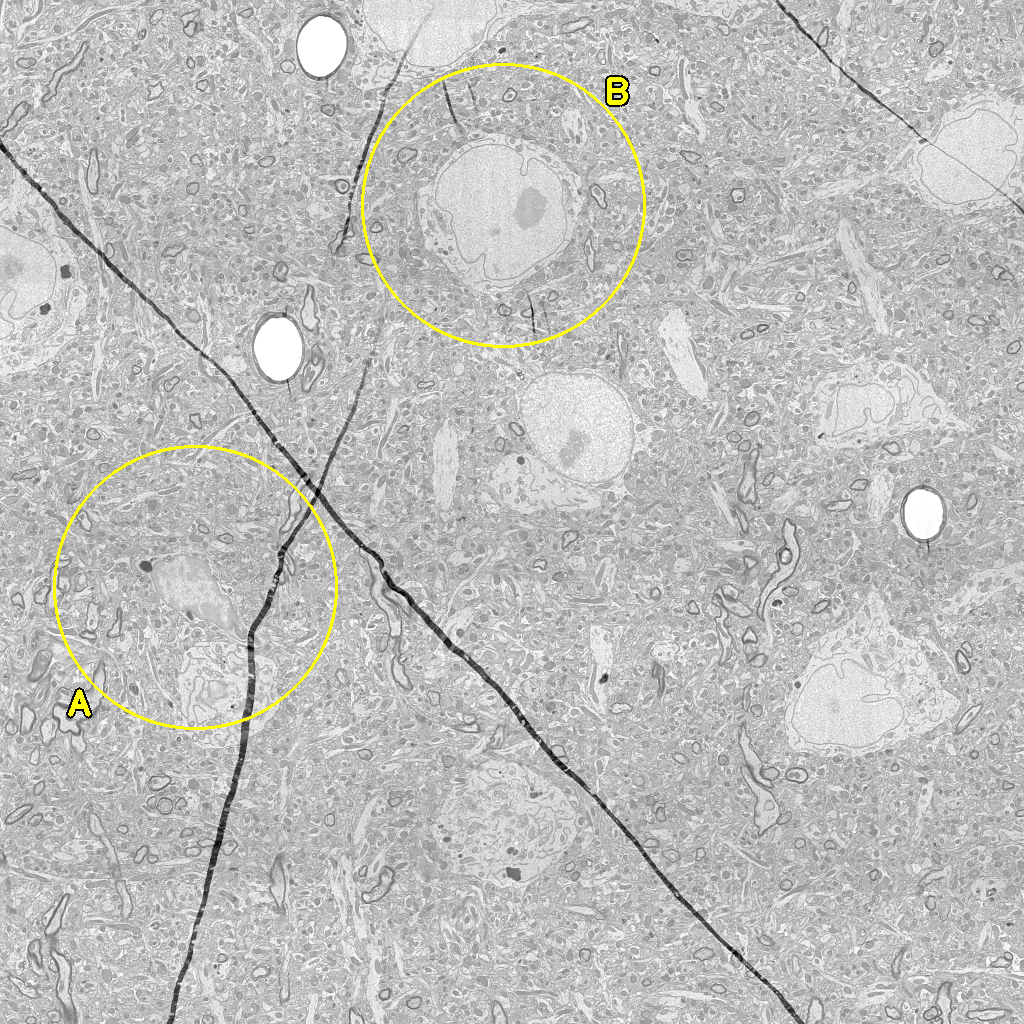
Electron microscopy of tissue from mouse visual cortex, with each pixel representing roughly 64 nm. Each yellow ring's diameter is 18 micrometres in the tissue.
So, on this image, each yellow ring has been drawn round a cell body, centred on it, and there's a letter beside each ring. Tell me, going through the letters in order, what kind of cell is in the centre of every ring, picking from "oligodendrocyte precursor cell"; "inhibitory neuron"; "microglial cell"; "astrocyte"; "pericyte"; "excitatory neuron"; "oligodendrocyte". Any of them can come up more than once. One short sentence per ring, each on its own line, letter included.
Ring A has been drawn round a microglial cell.
Ring B has been drawn round an excitatory neuron.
